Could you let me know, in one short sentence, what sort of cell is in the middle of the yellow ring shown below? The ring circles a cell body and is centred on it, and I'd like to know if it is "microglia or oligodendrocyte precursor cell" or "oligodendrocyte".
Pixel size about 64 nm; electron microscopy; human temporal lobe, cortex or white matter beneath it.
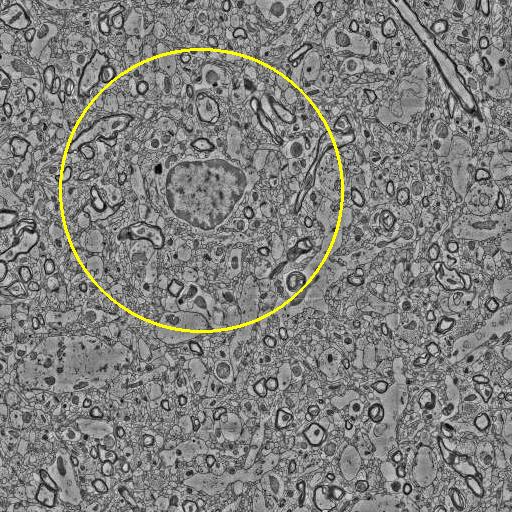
The ring circles the cell body of a microglial cell or oligodendrocyte precursor cell.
